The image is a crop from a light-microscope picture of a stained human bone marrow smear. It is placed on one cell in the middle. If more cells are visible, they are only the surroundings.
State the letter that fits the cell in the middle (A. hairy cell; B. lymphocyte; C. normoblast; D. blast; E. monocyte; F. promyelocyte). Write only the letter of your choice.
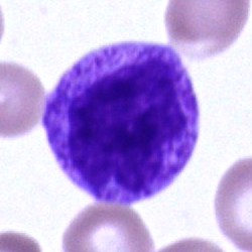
F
